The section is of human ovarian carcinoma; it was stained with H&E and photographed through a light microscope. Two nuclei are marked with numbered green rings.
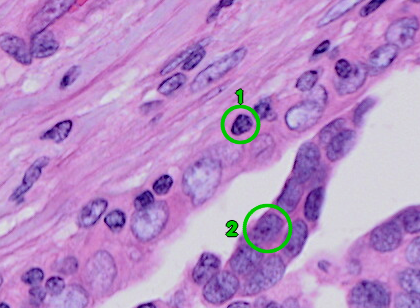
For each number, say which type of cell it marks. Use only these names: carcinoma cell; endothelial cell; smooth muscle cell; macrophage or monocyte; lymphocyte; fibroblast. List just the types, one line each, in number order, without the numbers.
lymphocyte
carcinoma cell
